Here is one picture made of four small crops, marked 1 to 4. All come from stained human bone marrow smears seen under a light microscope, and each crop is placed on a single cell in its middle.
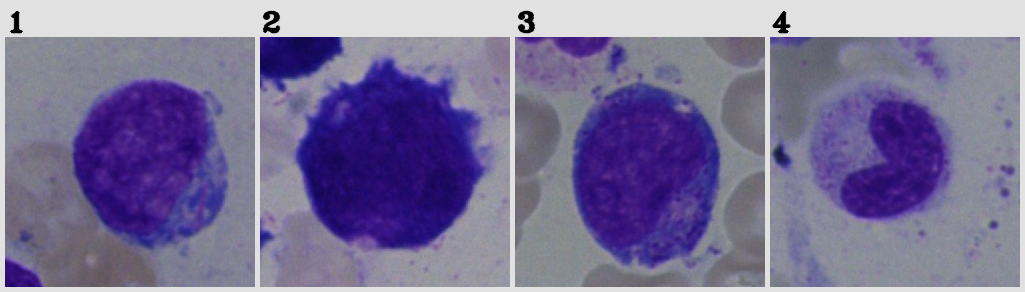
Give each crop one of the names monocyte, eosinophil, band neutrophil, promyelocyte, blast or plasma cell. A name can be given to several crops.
1: blast
2: blast
3: promyelocyte
4: band neutrophil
